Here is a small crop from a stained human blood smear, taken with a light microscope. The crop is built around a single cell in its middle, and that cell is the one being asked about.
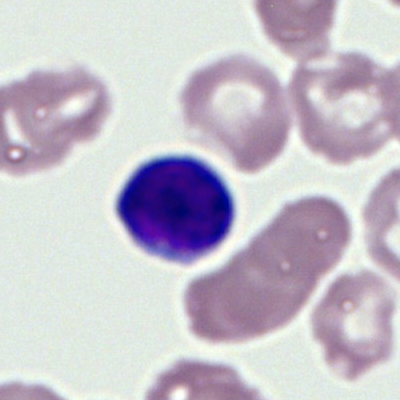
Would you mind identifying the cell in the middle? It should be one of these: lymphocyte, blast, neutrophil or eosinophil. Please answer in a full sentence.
Looking at the middle of the crop, the cell there is a lymphocyte.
